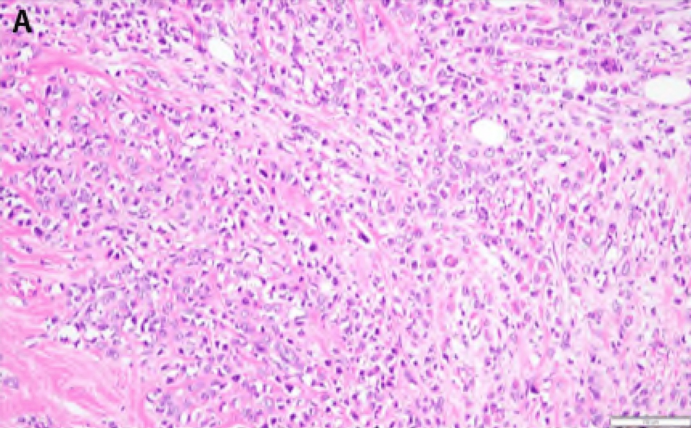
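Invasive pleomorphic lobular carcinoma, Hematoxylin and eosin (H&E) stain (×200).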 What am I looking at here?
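At lower power the breast tissue is diffusely infiltrated by cancer cells that spread through the pink fibrous stroma in sheets and single files without forming glands. The cells have dark, variably sized nuclei, and a few fat spaces remain trapped among them.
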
